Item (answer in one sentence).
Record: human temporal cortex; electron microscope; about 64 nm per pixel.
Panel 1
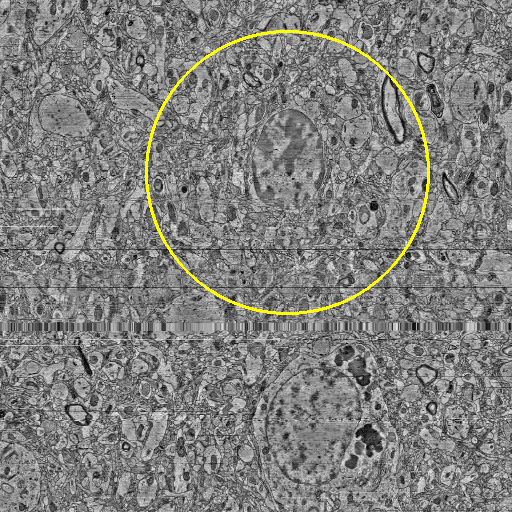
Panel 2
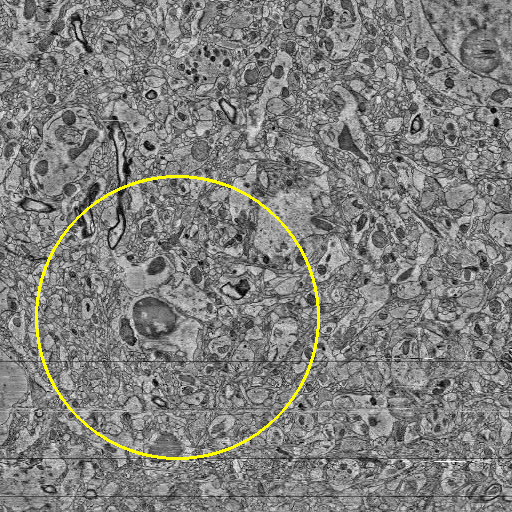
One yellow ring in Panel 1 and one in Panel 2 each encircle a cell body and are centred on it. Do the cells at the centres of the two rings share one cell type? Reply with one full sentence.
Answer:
Yes, Panel 1 and Panel 2 show cells of one type at the centres of their rings.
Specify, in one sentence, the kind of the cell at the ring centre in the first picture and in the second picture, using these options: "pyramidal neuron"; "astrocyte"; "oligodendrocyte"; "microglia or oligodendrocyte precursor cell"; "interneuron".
Each cell, in the first picture and the second, is a microglial cell or oligodendrocyte precursor cell.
